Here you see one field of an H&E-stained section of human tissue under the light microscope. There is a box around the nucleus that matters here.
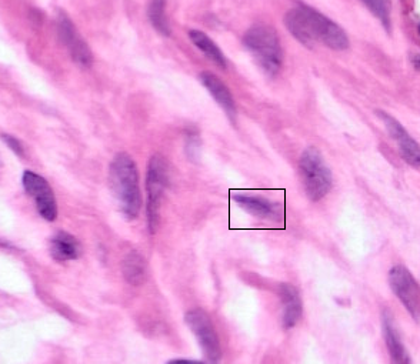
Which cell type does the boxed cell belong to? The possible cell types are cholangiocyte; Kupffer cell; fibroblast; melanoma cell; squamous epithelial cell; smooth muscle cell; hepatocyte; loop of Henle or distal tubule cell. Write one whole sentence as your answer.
In this field of tissue, the boxed cell is a fibroblast.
